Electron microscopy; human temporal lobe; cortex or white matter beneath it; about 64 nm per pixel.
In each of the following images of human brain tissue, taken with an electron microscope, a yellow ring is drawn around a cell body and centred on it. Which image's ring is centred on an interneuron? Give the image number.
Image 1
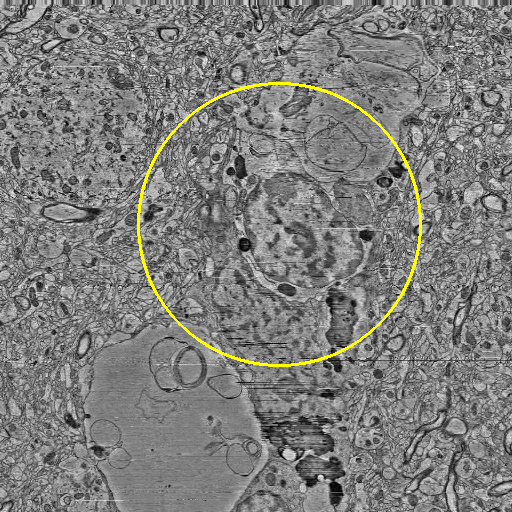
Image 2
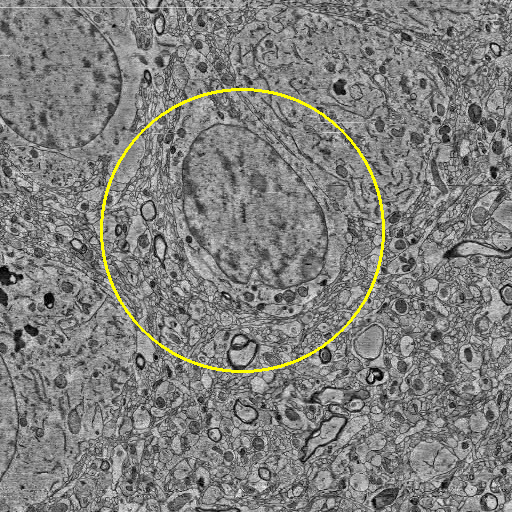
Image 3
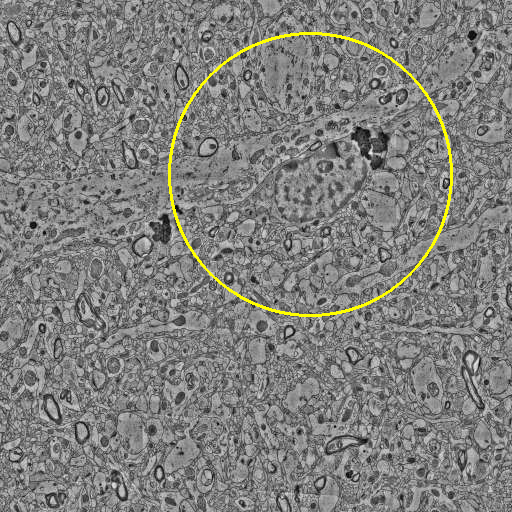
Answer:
2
